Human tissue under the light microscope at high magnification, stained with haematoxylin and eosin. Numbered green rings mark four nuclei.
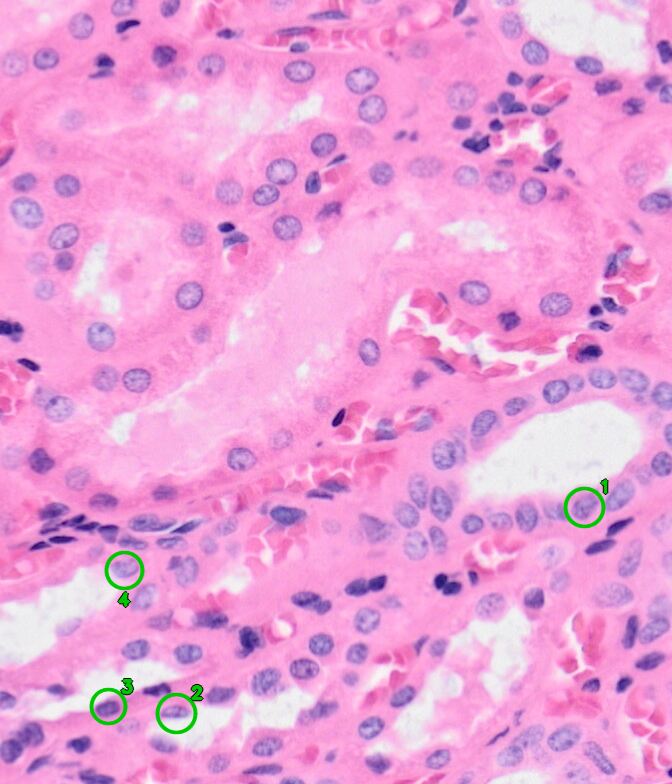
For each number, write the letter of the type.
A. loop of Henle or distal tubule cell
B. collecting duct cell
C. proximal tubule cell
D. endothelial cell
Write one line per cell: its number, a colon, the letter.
1: B
2: A
3: A
4: A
